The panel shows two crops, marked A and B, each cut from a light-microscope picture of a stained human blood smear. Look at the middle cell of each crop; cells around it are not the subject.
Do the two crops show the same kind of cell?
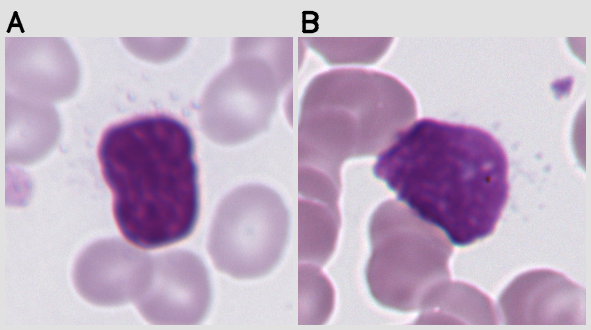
yes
